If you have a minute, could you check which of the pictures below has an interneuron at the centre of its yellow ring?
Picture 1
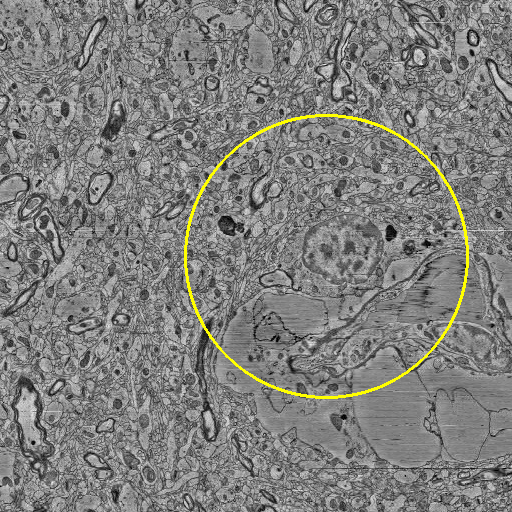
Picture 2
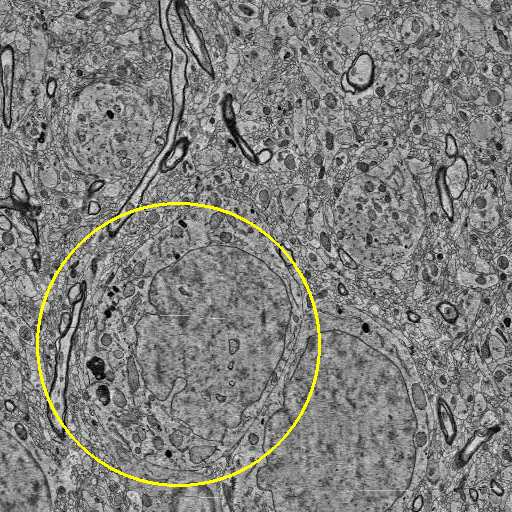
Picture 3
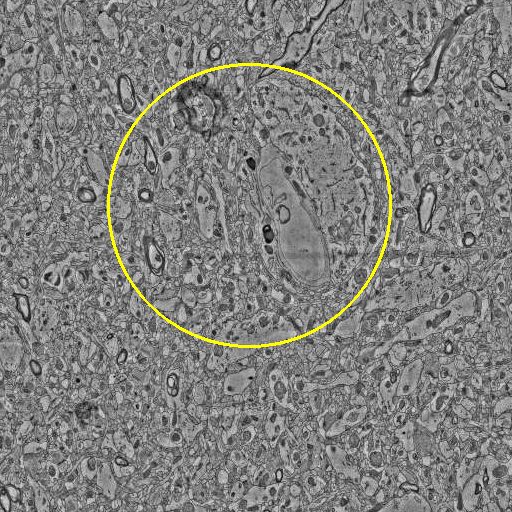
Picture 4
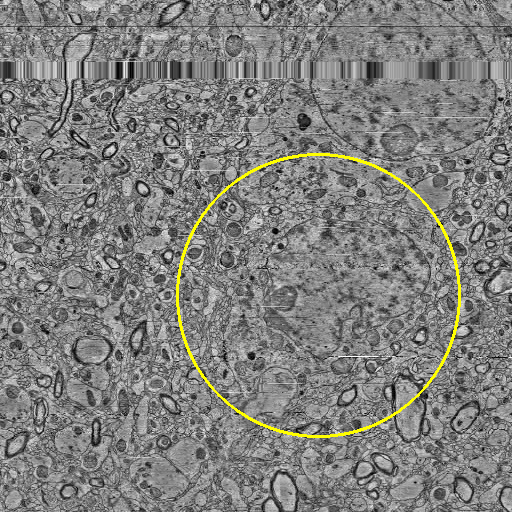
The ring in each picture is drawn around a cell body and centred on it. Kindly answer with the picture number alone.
4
